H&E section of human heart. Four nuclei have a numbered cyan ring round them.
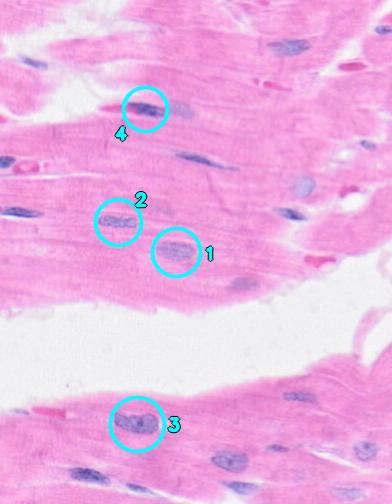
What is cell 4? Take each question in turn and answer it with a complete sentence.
The cell marked with number 4 is an endothelial cell.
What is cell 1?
In the tissue shown, cell 1 is a cardiomyocyte.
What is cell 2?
To a cardiomyocyte belongs the nucleus marked 2.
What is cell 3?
What the number 3 marks in this field is a cardiomyocyte.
